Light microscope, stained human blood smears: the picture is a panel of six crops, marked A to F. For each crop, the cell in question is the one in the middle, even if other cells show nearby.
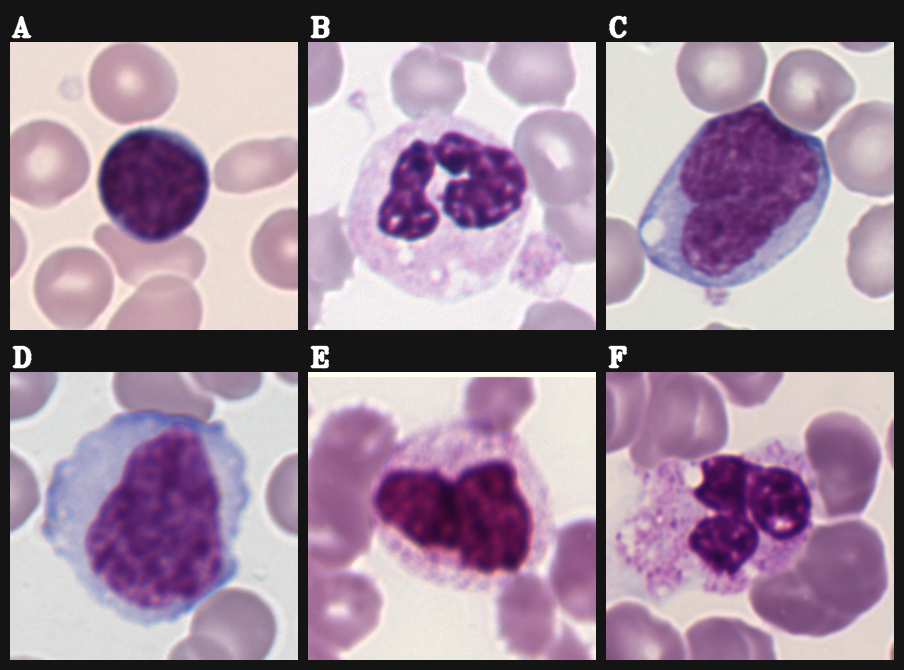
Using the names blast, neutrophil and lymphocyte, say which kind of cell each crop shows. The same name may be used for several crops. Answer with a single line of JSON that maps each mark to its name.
{"A": "lymphocyte", "B": "neutrophil", "C": "blast", "D": "blast", "E": "neutrophil", "F": "neutrophil"}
